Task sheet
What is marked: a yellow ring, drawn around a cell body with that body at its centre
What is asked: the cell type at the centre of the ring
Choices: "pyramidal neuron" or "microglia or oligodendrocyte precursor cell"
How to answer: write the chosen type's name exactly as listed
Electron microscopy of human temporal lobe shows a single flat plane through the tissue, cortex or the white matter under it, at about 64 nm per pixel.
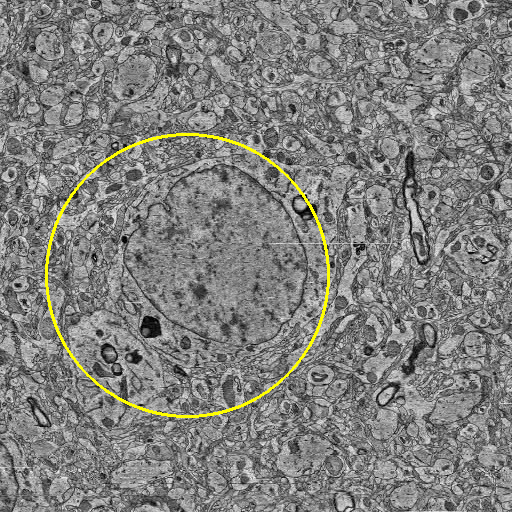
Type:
pyramidal neuron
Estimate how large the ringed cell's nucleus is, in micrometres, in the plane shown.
The nucleus of the ringed cell is approximately 12 micrometres across in this plane.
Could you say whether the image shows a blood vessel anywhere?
No, a blood vessel is absent from this picture.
